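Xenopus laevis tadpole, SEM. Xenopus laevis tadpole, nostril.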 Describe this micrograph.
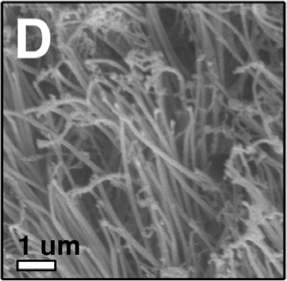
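This high-magnification scanning electron micrograph shows olfactory cilia at close range. Towards the upper middle of the image some of the processes bend, curl and loop over one another, forming a looser tangle with small fragments of material between them. Deeper shadowed gaps between bundles show the layered depth of the dense ciliary lawn.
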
